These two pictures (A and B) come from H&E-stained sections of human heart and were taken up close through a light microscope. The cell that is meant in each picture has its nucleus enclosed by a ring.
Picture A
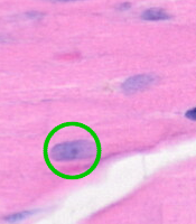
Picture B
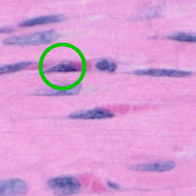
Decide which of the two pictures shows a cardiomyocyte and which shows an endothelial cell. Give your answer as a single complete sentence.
In picture A the cell is a cardiomyocyte; in picture B, an endothelial cell.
